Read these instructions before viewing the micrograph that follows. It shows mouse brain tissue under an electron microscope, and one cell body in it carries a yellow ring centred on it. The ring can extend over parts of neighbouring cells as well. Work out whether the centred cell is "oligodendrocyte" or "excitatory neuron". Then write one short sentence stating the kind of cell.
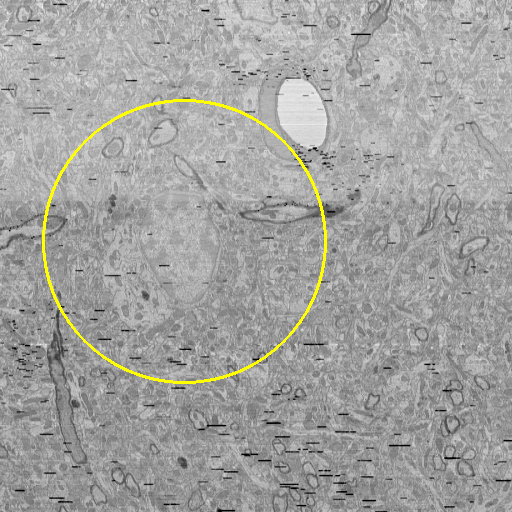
The ringed cell is an oligodendrocyte.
